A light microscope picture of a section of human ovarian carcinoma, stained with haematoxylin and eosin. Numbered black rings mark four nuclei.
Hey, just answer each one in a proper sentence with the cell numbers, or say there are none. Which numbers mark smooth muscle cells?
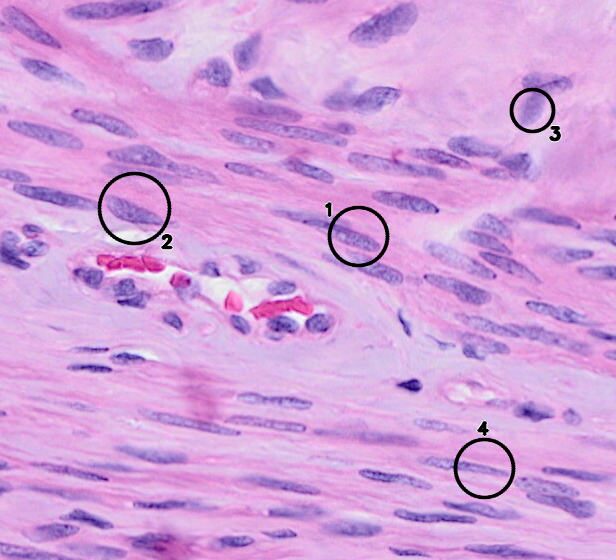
The cells labelled 1, 2 and 4 in this section are smooth muscle cells.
